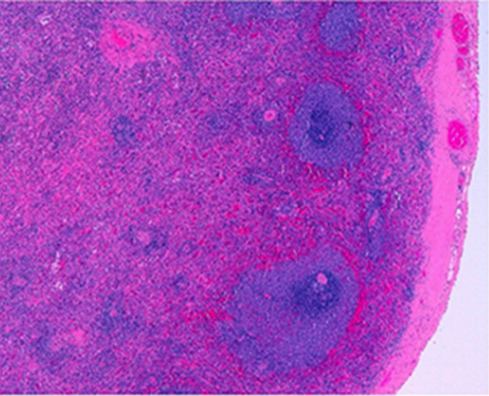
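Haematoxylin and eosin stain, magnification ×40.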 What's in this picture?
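Low-power view of lymphoid tissue in which rounded, deep blue lymphoid follicles lie scattered in a purple-pink background, bounded at the right edge by a smooth pink fibrous capsule. Small pink vessels lie within or beside some follicles. Smaller, uniformly dark lymphoid nodules without a pale centre are also seen. Between the follicles, the tissue is looser and more pink, reflecting red cell-rich pulp.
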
